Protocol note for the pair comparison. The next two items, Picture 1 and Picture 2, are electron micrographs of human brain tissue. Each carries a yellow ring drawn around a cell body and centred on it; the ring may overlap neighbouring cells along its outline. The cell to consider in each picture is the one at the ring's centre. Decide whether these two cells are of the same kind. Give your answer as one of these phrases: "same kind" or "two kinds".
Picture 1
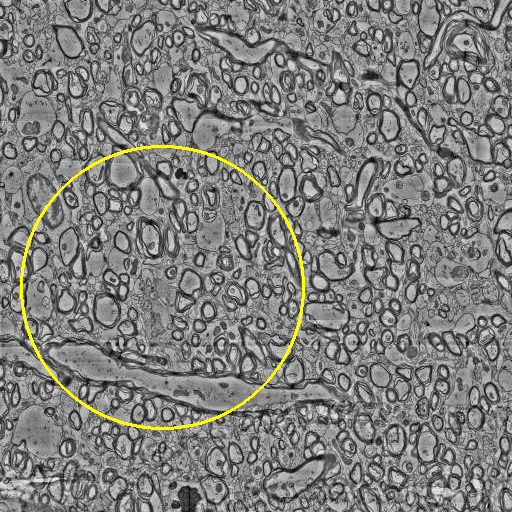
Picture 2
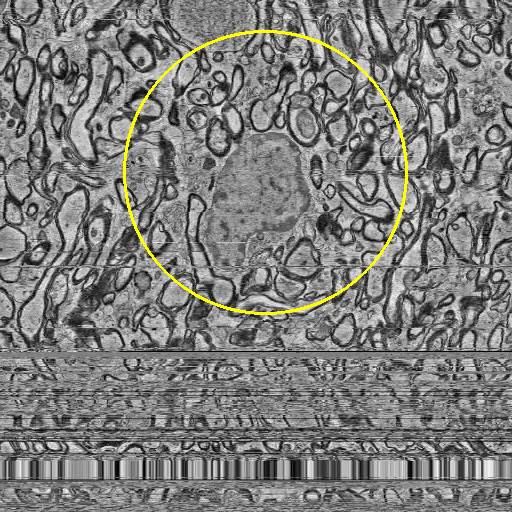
two kinds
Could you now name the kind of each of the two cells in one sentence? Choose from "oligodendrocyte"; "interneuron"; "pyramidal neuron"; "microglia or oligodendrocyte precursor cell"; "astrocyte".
The first ring encloses an oligodendrocyte; the second ring encloses a microglial cell or oligodendrocyte precursor cell.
